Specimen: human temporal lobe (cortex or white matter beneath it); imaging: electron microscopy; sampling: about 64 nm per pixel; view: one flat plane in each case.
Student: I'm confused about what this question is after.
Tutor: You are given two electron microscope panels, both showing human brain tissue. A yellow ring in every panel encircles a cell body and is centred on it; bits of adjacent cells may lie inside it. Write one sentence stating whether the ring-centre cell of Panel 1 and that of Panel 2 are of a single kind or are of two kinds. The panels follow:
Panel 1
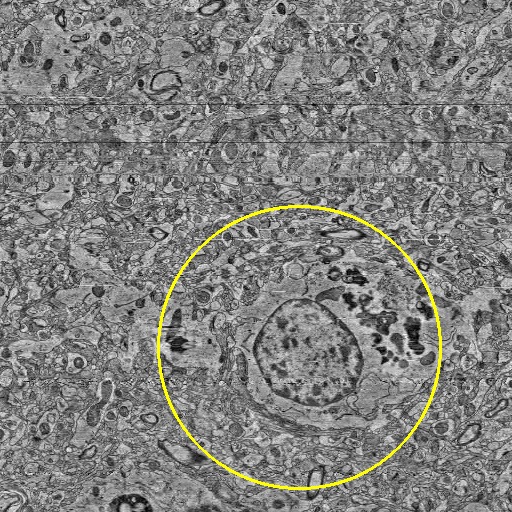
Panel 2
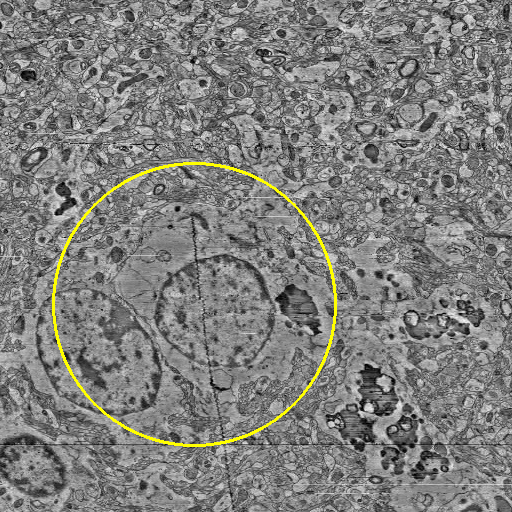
Here, the Panel 1 ring-centre cell and the Panel 2 ring-centre cell are of a single kind.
